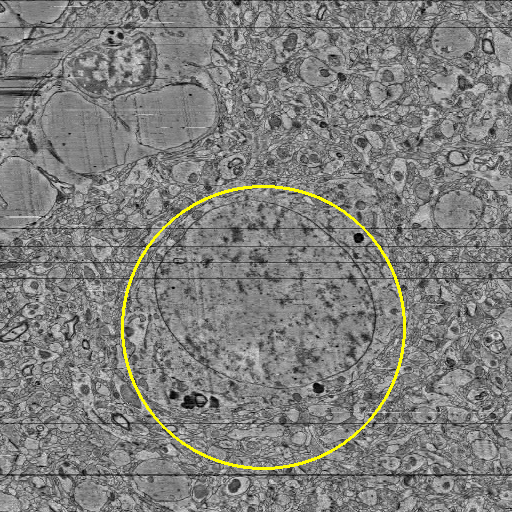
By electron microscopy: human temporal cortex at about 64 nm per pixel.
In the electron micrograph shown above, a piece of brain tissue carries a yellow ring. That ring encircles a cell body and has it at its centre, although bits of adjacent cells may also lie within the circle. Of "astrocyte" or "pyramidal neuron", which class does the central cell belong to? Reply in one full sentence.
The cell body at the centre of the yellow ring belongs to a pyramidal neuron.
